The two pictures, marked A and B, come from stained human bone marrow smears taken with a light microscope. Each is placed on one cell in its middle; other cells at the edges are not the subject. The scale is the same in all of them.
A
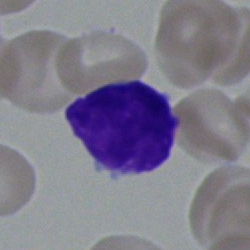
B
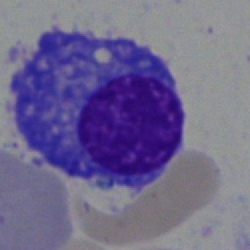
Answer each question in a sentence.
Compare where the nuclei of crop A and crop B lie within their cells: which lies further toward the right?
Seen within its cell, the nucleus in crop B lies further toward the right.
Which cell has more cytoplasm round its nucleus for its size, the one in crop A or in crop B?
In crop B the nucleus takes up the smaller part of its cell.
